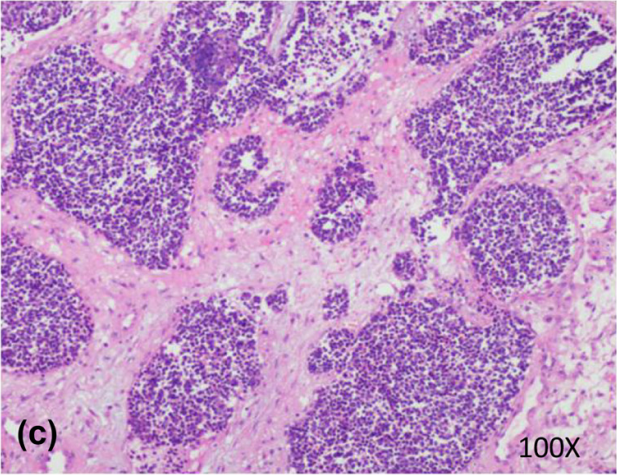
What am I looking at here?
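Dense dark blue collections of small cells are gathered into rounded and irregular islands and broader sheets, separated by pale pink fibrous stroma. Some islands have loosened, discohesive areas. This is tumor growing in sheets and nests.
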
